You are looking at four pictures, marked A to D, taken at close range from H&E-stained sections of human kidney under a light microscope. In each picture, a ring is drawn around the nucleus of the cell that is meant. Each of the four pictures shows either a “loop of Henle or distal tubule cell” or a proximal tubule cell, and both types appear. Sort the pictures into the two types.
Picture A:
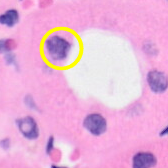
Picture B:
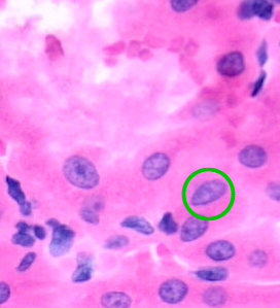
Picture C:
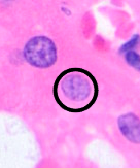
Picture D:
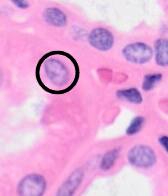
A: loop of Henle or distal tubule cell
B: proximal tubule cell
C: proximal tubule cell
D: proximal tubule cell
